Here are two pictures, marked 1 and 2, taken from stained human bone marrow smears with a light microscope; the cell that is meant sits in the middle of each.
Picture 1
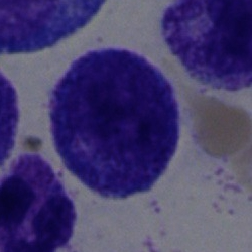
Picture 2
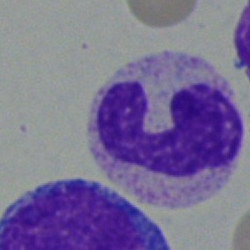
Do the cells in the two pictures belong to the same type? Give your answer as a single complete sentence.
No. Picture 1 shows a promyelocyte, but picture 2 shows a band neutrophil.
